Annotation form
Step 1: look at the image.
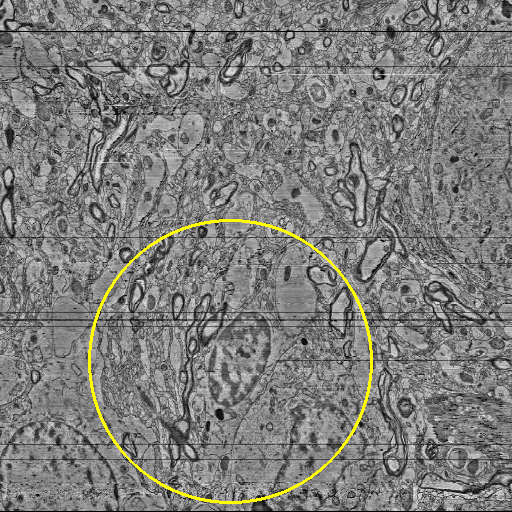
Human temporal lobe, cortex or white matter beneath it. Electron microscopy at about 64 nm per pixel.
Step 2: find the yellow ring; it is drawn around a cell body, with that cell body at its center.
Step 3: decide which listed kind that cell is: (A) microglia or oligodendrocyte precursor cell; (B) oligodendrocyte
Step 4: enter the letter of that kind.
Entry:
A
